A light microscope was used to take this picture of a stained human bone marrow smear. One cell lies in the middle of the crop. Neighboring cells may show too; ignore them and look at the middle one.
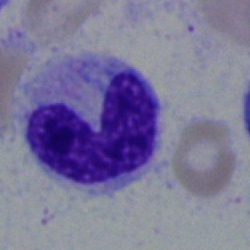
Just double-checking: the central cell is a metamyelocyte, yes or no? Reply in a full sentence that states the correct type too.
No, the cell in the middle is correctly named a band neutrophil, not a metamyelocyte.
